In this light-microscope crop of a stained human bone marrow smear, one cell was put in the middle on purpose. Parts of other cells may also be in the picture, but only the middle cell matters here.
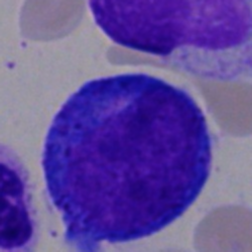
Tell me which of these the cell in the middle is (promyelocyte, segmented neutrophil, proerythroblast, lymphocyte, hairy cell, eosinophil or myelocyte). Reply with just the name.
promyelocyte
